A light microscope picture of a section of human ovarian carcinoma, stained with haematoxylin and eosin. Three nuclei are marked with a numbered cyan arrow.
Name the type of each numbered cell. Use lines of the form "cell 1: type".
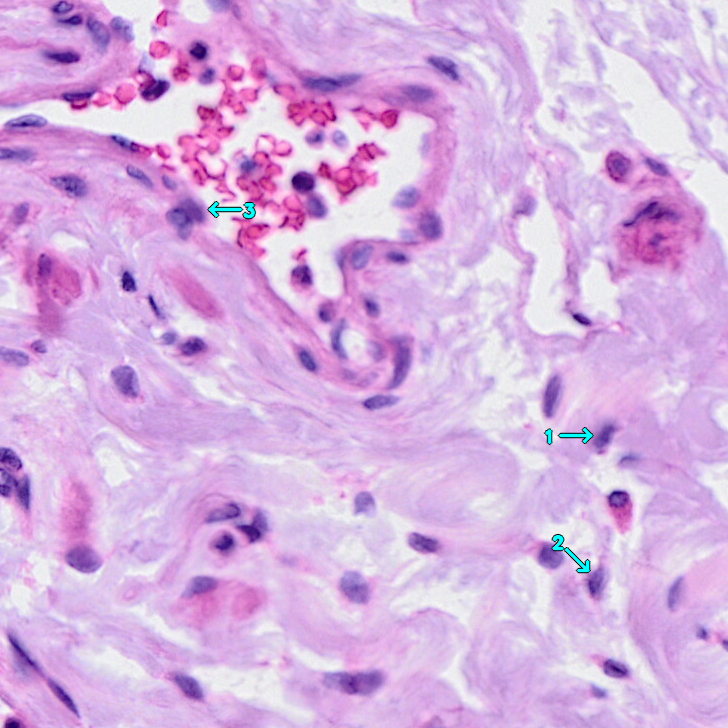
cell 1: fibroblast
cell 2: fibroblast
cell 3: endothelial cell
